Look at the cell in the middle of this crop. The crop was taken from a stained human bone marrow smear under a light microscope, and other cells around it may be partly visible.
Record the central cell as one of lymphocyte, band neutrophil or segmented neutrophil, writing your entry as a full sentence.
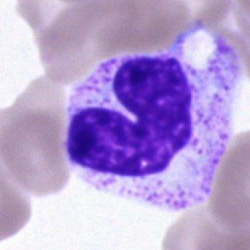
The cell centred in this crop is categorized as a band neutrophil.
